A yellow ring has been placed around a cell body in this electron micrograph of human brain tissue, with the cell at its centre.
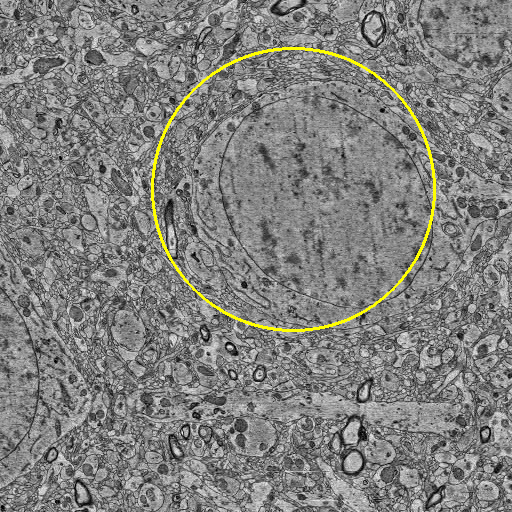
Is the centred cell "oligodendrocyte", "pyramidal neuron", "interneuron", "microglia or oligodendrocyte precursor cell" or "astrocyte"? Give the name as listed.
pyramidal neuron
